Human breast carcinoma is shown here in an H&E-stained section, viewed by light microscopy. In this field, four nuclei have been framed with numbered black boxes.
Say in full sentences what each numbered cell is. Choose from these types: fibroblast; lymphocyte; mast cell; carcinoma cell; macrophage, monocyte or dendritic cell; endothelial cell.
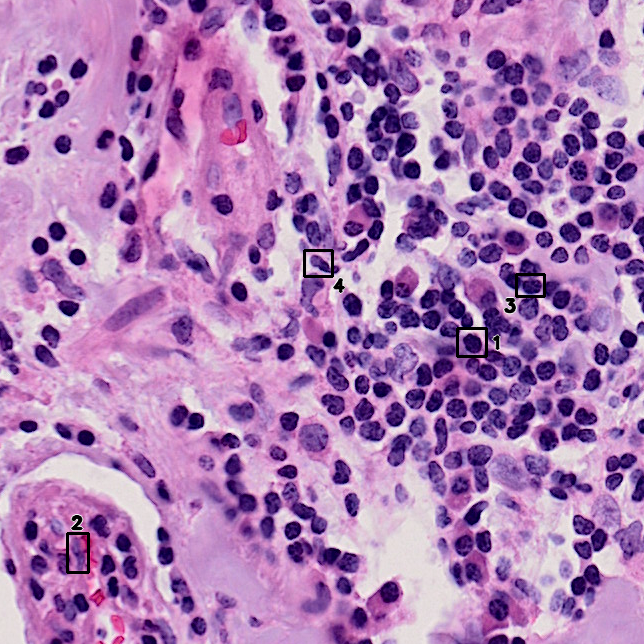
Cell 1 is a lymphocyte, cell 2 is an endothelial cell, cell 3 is a lymphocyte and cell 4 is a lymphocyte.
